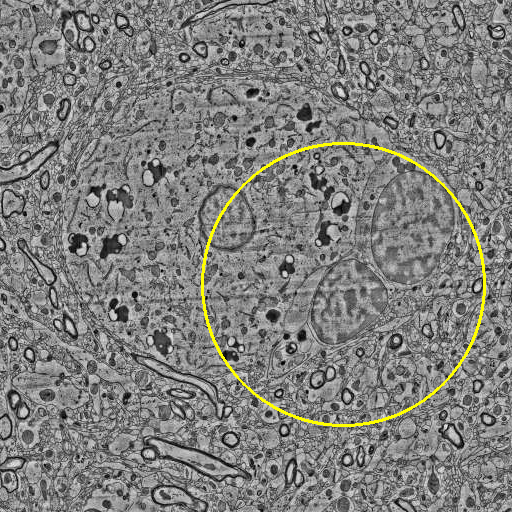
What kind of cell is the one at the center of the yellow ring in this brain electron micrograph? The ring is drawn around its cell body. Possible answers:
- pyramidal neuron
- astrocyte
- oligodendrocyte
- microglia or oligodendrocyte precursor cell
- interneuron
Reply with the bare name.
microglia or oligodendrocyte precursor cell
